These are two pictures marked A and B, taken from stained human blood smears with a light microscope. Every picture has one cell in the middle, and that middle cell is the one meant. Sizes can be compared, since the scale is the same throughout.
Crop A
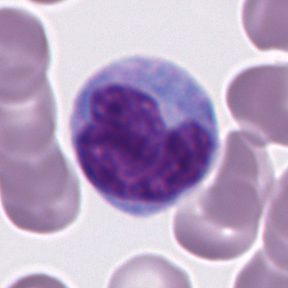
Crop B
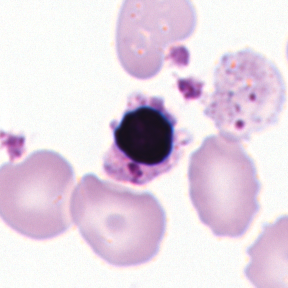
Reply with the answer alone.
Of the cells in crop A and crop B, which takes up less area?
B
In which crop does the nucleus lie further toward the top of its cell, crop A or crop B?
B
